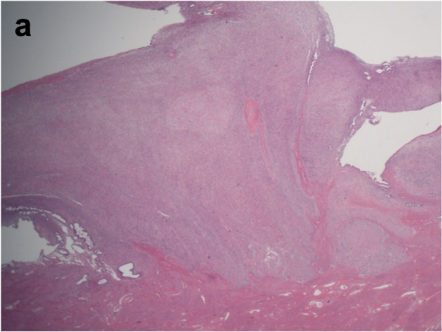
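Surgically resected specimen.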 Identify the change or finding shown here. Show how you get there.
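Tongue-like projections. A pale cellular mass pushes into pinker tissue below. The tumor border is irregular with protruding extensions.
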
